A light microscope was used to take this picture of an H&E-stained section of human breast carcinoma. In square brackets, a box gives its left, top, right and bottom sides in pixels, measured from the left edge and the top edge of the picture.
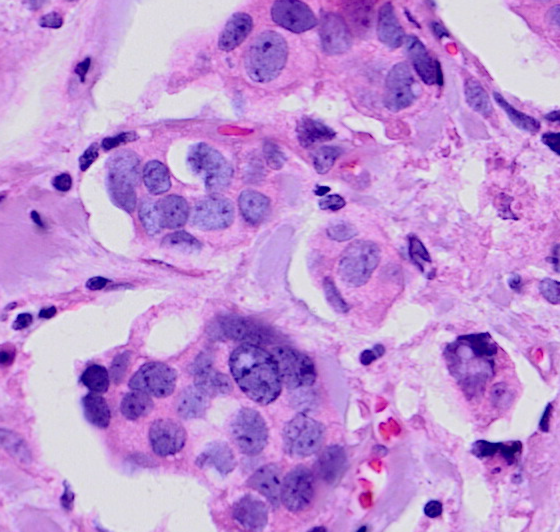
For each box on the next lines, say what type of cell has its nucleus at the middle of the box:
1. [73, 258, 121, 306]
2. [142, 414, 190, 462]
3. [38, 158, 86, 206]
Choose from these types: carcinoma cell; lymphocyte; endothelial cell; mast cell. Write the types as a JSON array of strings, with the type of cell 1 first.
["lymphocyte", "carcinoma cell", "lymphocyte"]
